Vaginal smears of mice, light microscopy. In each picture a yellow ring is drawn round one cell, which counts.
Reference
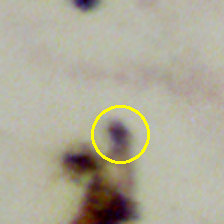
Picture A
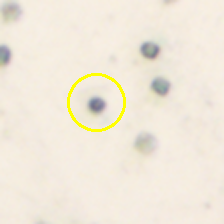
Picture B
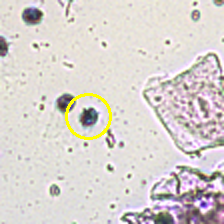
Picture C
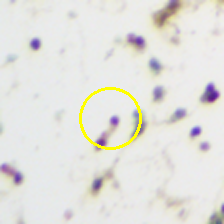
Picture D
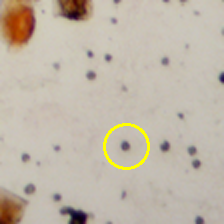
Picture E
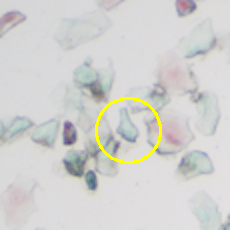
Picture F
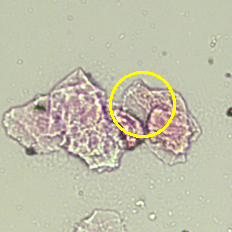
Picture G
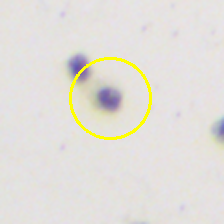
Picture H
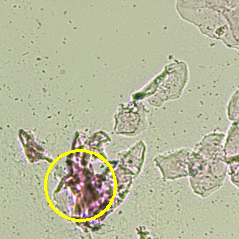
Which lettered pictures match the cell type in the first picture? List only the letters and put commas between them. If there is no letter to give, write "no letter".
A, B, C, D, G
